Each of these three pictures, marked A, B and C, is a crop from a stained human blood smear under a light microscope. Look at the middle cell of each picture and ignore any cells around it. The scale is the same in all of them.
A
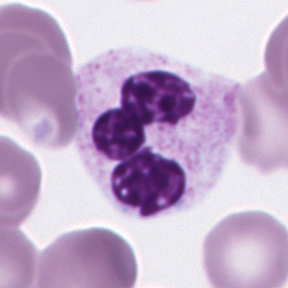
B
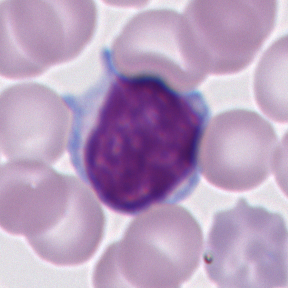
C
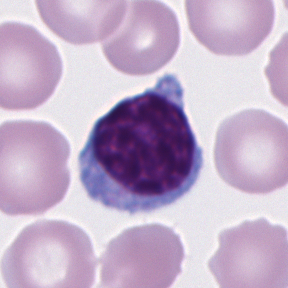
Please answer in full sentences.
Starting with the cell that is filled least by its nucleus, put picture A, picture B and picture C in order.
The least filled comes first: A, C, B.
